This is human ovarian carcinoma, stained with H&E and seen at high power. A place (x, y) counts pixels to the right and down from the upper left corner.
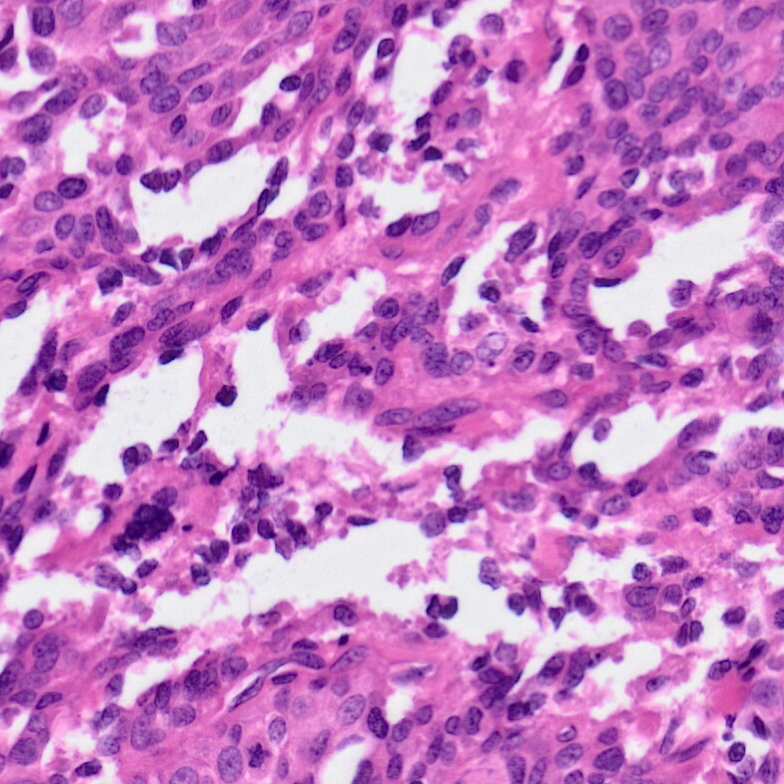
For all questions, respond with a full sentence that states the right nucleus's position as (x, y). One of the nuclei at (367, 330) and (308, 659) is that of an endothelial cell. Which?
Heads up, the nucleus at (308, 659) is the one that belongs to an endothelial cell.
